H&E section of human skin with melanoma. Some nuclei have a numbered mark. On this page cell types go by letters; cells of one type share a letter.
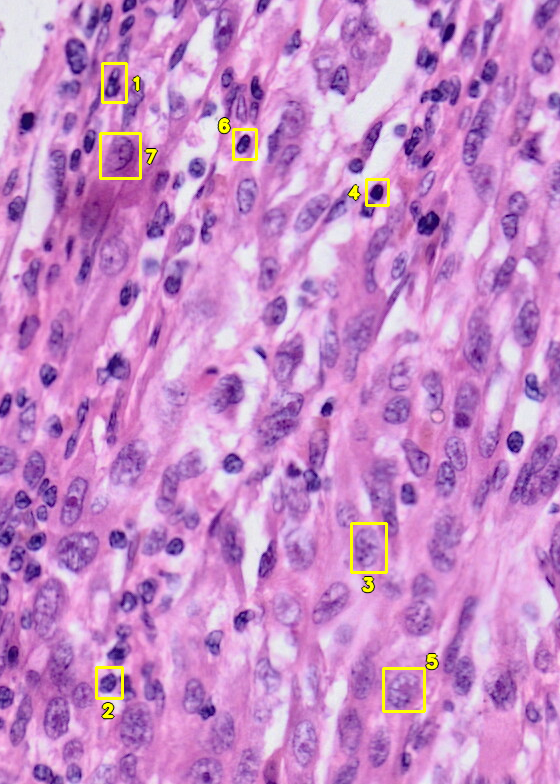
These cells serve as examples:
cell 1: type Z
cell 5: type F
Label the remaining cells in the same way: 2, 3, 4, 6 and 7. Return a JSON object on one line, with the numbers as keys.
{"2": "type Z", "3": "type F", "4": "type Z", "6": "type Z", "7": "type F"}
